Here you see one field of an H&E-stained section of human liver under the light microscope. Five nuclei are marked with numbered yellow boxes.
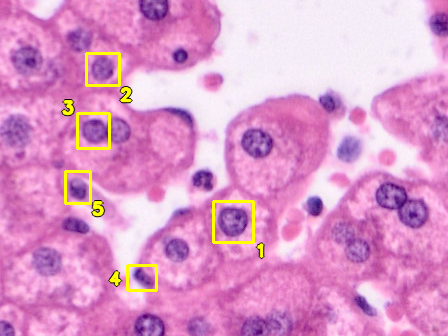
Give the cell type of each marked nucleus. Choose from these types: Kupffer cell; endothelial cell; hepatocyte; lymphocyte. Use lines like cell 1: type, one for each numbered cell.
cell 1: hepatocyte
cell 2: hepatocyte
cell 3: hepatocyte
cell 4: endothelial cell
cell 5: Kupffer cell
